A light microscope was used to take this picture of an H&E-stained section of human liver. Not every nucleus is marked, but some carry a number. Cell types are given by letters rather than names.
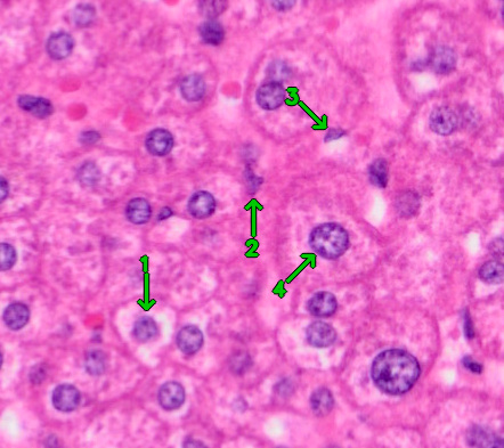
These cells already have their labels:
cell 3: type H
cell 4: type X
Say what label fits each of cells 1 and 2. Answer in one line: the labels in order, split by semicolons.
type X; type H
